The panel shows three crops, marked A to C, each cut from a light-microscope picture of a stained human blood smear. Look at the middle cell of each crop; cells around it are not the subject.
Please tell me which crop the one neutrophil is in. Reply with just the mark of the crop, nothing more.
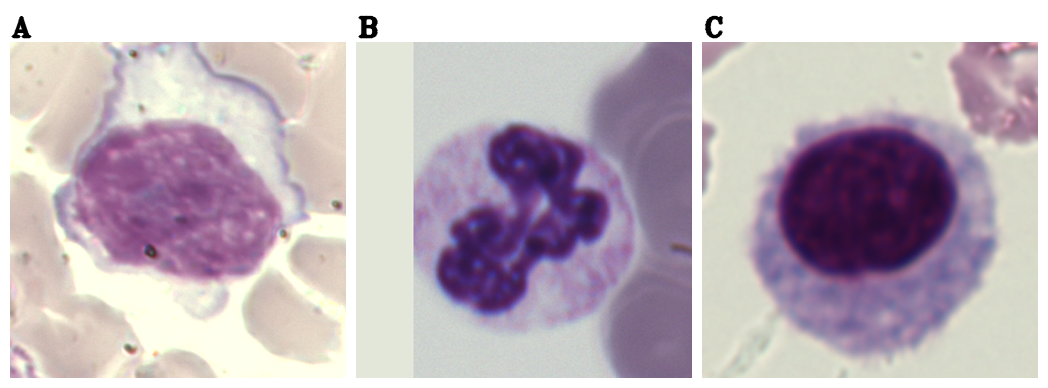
B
